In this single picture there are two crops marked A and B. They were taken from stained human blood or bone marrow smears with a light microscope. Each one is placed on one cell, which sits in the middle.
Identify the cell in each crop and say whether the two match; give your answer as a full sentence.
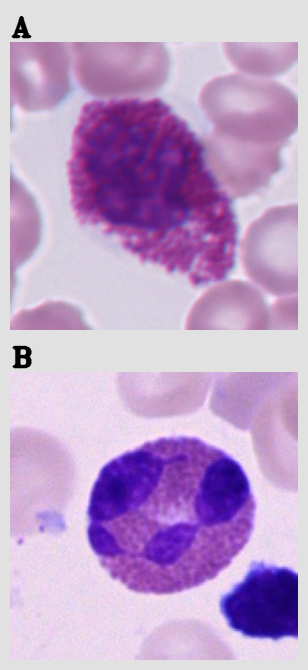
Yes, both crops have eosinophils at the centre.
